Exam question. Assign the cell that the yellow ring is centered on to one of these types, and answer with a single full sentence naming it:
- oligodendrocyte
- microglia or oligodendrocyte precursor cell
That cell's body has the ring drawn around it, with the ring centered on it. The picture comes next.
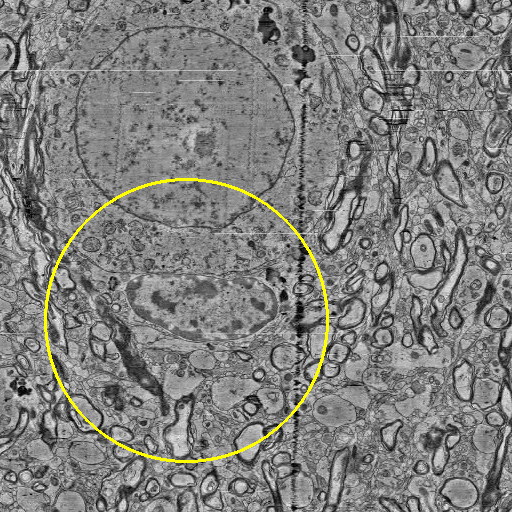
In the micrograph, the cell the yellow ring is centered on is a microglial cell or oligodendrocyte precursor cell.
